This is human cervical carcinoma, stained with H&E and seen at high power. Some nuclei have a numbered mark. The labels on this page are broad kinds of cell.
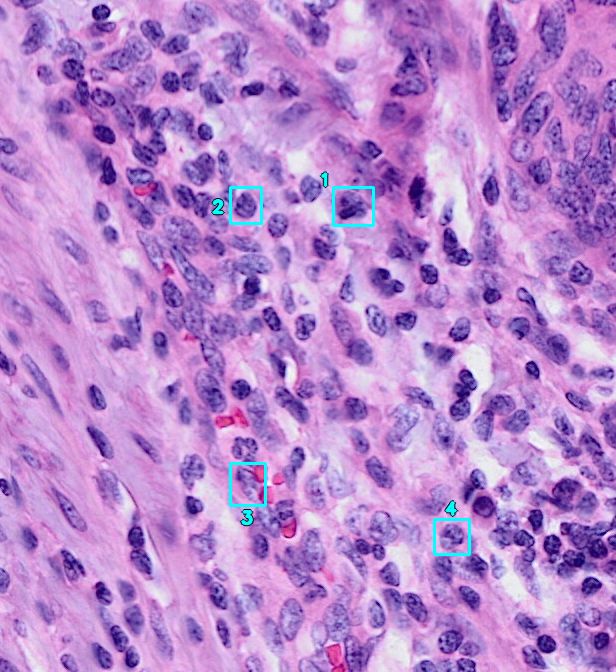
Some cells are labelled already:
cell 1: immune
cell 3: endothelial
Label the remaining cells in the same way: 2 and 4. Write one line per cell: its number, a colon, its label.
2: immune
4: immune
